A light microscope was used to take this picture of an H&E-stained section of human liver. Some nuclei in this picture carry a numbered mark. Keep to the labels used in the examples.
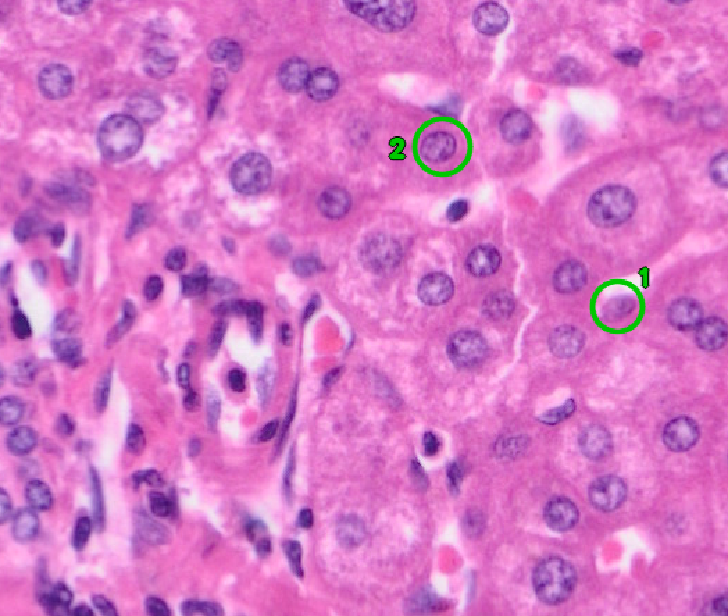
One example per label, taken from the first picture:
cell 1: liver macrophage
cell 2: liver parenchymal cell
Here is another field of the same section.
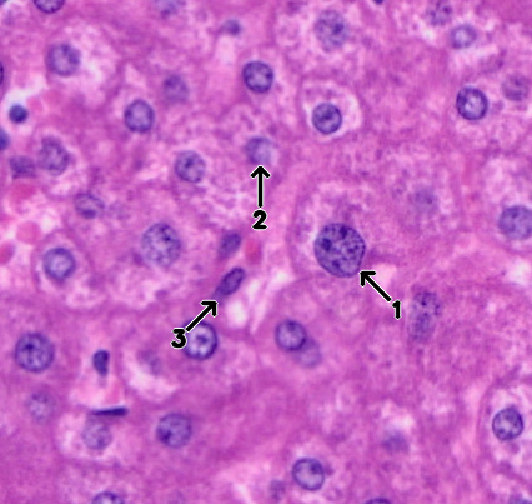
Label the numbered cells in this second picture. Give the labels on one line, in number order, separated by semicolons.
liver parenchymal cell; liver parenchymal cell; liver macrophage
